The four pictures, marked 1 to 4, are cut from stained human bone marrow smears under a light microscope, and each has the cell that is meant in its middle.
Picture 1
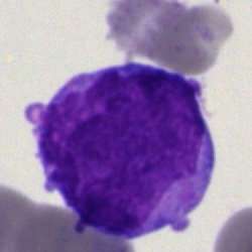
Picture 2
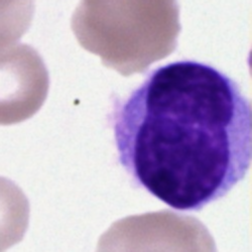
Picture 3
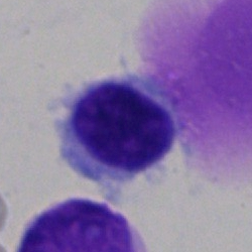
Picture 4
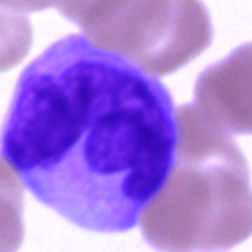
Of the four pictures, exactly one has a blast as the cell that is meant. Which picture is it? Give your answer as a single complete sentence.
The picture with the blast is 1.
